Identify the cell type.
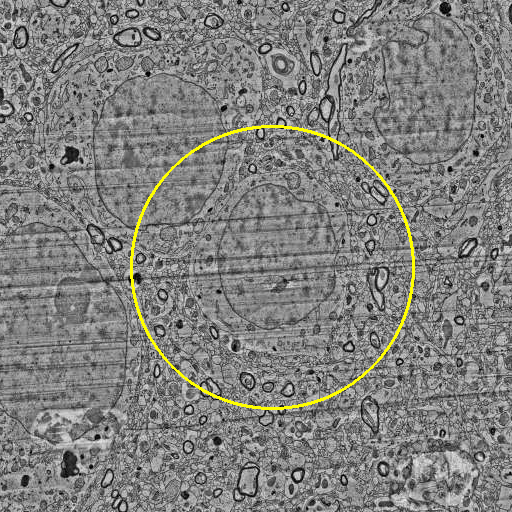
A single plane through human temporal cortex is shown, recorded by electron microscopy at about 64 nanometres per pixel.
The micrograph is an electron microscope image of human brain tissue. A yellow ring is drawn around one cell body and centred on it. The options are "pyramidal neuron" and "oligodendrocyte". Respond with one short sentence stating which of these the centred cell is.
The cell body in the ring belongs to a pyramidal neuron.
